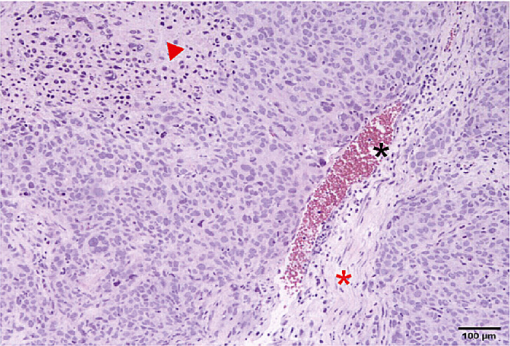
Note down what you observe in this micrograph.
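Cellular tumor tissue of spindle-shaped cells with pleomorphic purple nuclei surrounds a large, elongated blood vessel packed with red blood cells. Beside the vessel lies a pale pink, fibrous collagenous band with few nuclei, and at the upper left an area of scattered small dark nuclear fragments marks necrosis.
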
